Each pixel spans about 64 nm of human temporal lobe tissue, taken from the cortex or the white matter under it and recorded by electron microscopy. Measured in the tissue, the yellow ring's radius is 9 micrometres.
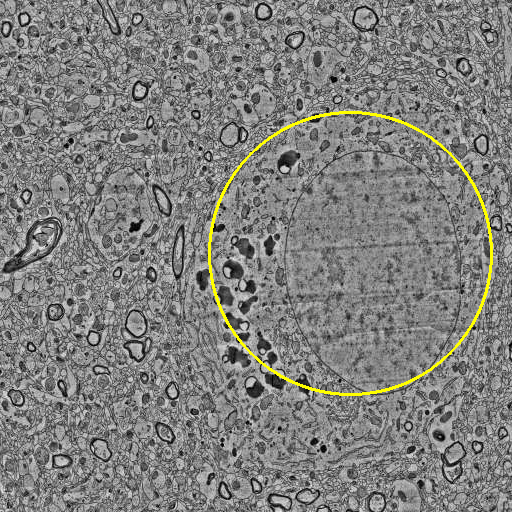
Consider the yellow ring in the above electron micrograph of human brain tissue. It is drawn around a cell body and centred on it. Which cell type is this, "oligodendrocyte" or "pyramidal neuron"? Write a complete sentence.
The cell in question is a pyramidal neuron.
